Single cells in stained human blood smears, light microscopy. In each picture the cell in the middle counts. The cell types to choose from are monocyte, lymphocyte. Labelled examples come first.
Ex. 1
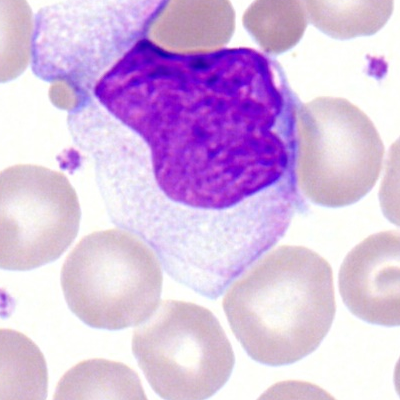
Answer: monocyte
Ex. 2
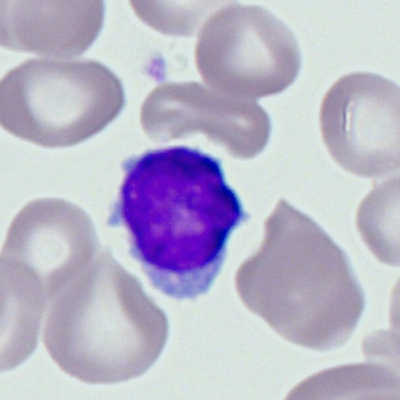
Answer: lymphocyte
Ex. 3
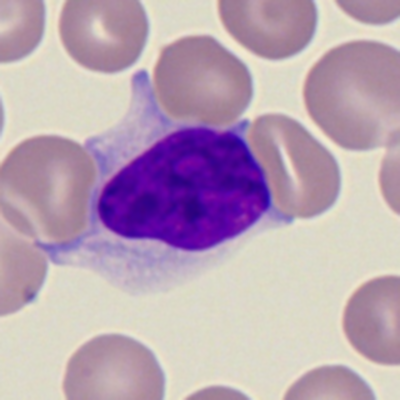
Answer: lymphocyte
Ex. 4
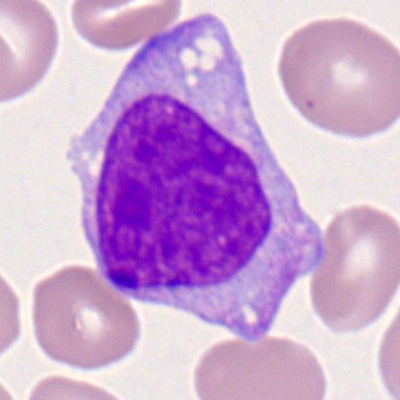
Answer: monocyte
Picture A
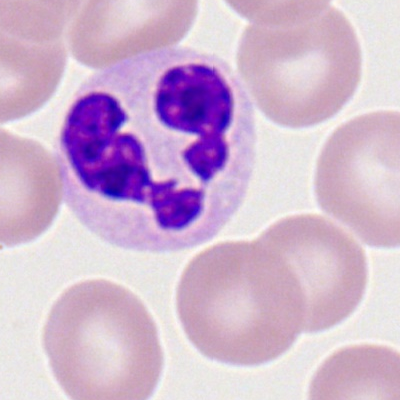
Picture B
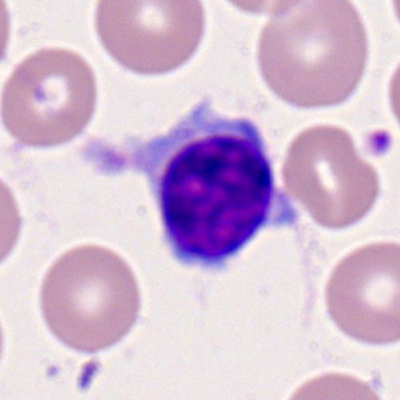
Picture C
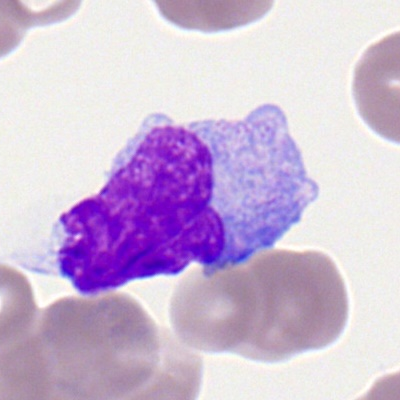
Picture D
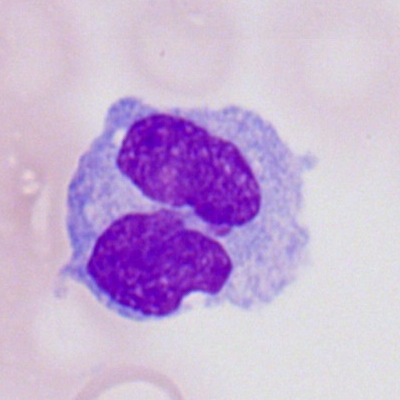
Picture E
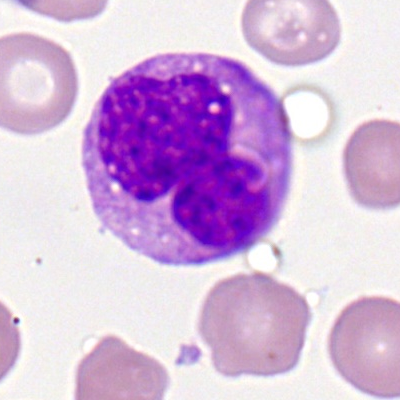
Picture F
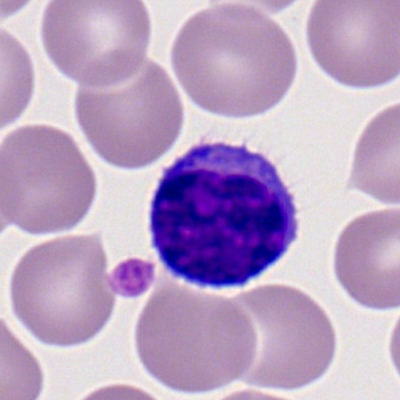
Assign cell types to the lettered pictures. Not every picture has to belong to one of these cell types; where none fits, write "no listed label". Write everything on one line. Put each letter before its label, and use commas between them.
A no listed label, B lymphocyte, C monocyte, D monocyte, E monocyte, F lymphocyte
